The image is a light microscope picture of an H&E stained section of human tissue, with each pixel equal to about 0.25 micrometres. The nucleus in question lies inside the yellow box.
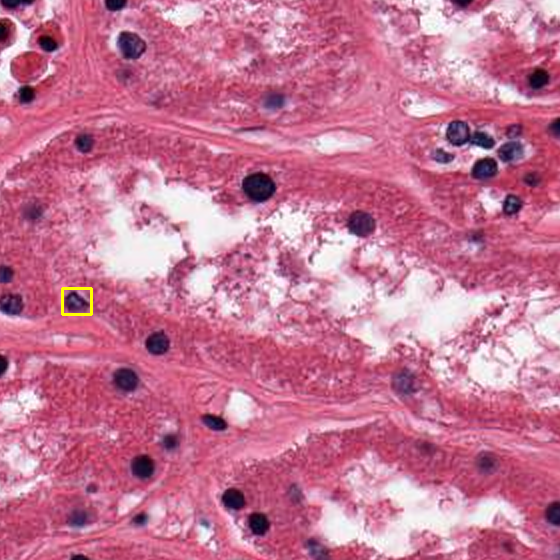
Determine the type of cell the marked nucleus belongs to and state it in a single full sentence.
Within the picture, the marked nucleus belongs to a proximal tubule cell.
